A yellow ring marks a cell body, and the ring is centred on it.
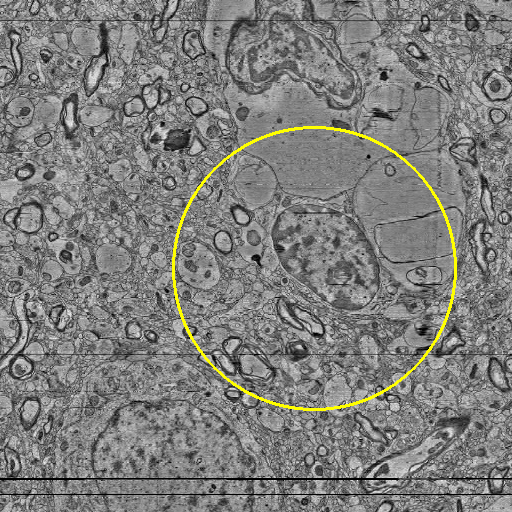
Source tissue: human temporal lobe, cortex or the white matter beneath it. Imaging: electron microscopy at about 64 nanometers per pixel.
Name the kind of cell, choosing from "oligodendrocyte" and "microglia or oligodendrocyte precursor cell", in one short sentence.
The marked cell body belongs to a microglial cell or oligodendrocyte precursor cell.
